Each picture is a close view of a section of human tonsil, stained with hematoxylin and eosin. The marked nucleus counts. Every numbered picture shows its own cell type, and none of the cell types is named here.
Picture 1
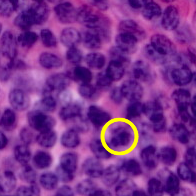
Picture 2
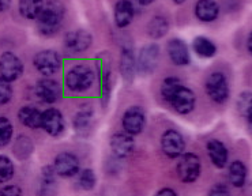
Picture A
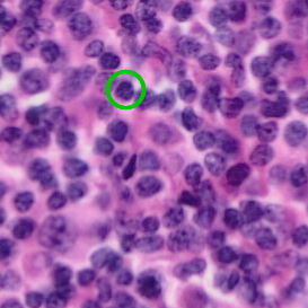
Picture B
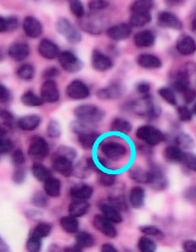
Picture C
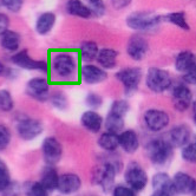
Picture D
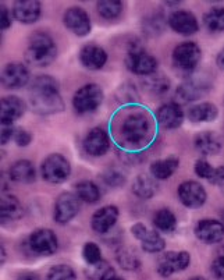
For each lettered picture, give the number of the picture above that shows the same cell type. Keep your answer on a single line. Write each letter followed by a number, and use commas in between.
A 1, B 1, C 2, D 2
